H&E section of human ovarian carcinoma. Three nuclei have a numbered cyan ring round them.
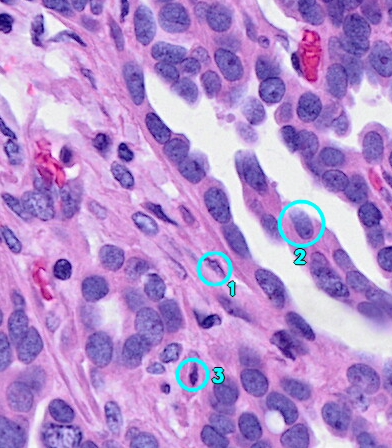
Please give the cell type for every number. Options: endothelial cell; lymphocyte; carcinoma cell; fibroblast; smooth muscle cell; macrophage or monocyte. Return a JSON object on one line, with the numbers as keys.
{"1": "fibroblast", "2": "carcinoma cell", "3": "fibroblast"}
